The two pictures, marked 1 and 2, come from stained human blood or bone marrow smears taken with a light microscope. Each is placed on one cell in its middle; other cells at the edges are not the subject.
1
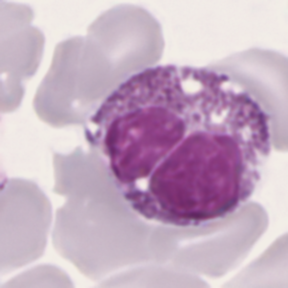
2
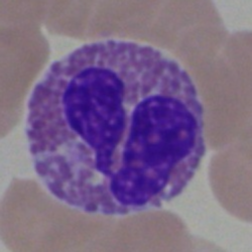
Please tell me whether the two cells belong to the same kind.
yes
